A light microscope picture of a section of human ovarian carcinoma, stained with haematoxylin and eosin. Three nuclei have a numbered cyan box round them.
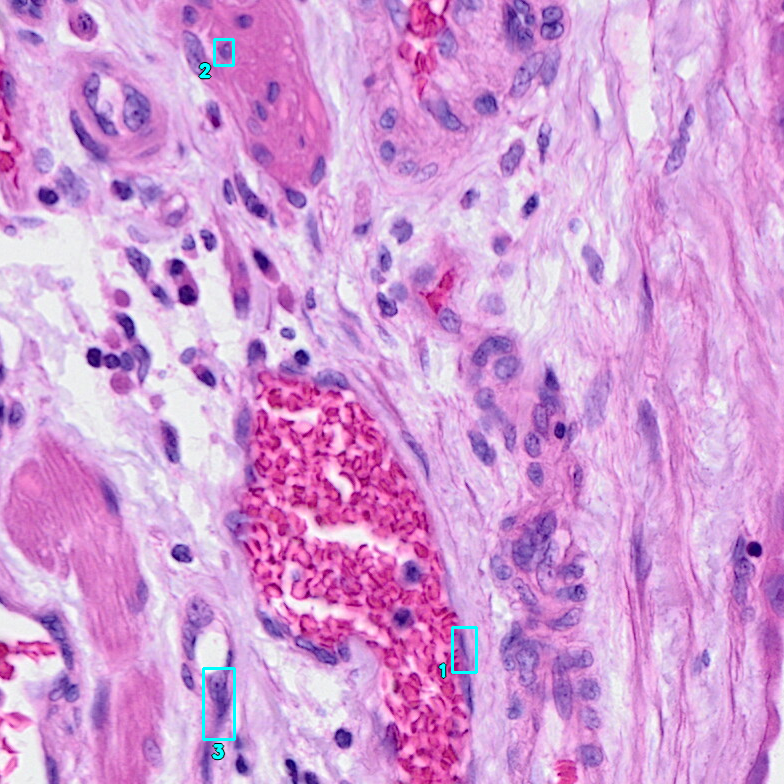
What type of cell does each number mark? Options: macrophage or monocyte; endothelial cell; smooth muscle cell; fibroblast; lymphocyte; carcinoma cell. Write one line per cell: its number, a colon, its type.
1: endothelial cell
2: smooth muscle cell
3: endothelial cell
